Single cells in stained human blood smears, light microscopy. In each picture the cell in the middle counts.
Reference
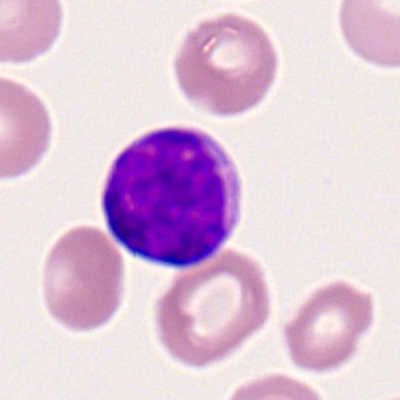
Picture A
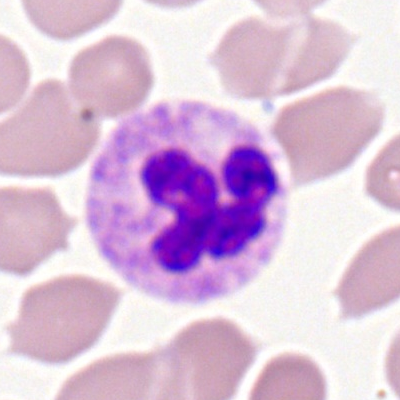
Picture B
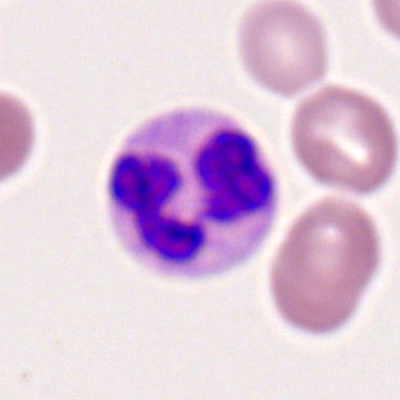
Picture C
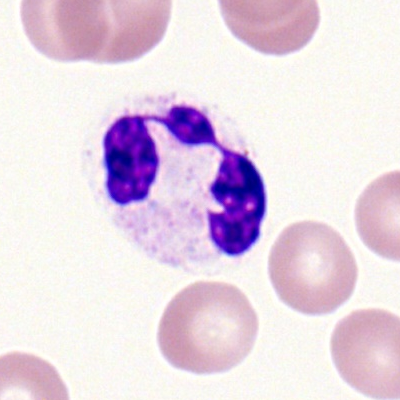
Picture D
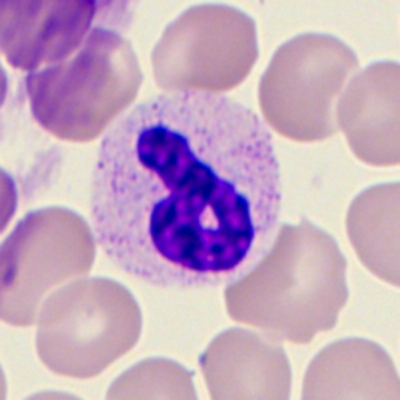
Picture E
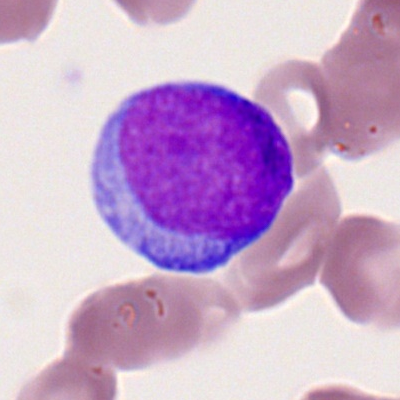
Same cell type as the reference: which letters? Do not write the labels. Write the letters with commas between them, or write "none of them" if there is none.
none of them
